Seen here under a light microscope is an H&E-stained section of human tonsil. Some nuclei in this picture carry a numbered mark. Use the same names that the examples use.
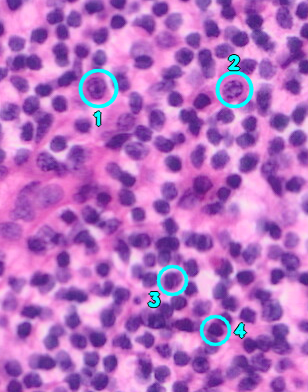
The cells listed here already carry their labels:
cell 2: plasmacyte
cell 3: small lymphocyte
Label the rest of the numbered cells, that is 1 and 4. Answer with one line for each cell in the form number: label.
1: plasmacyte
4: small lymphocyte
